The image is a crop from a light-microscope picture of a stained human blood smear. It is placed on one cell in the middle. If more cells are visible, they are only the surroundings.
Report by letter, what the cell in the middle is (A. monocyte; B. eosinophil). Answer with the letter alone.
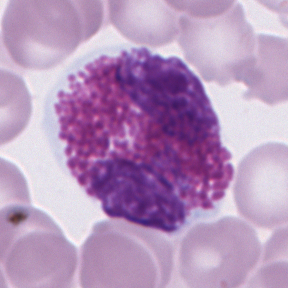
B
